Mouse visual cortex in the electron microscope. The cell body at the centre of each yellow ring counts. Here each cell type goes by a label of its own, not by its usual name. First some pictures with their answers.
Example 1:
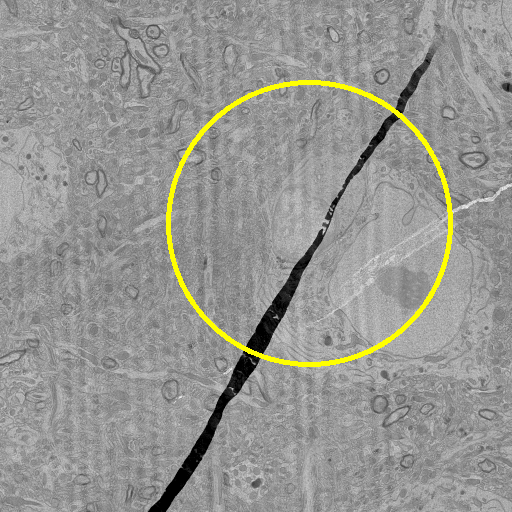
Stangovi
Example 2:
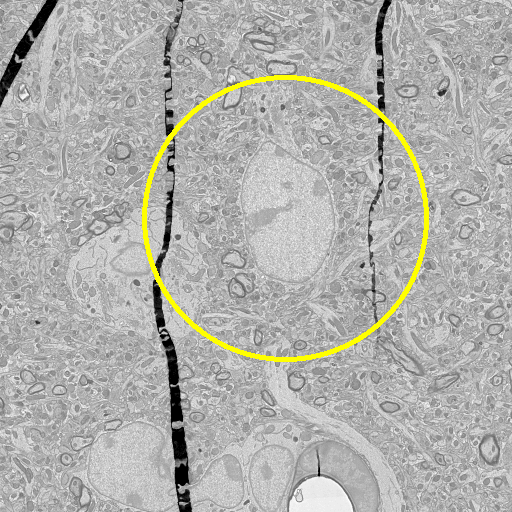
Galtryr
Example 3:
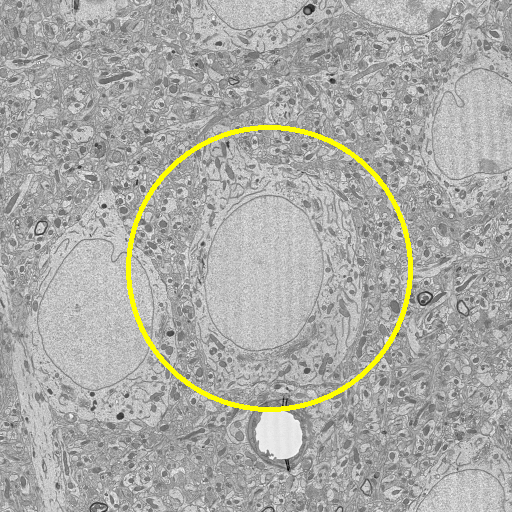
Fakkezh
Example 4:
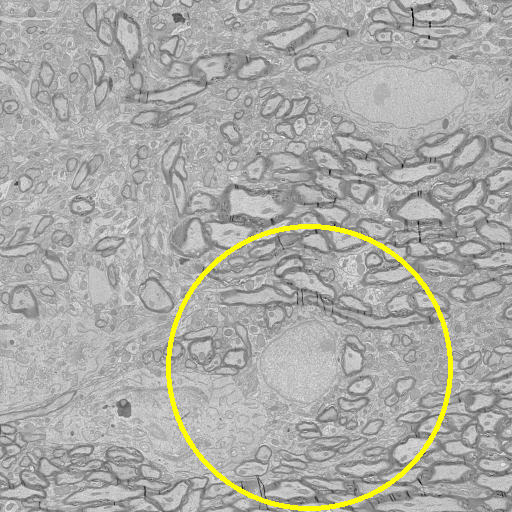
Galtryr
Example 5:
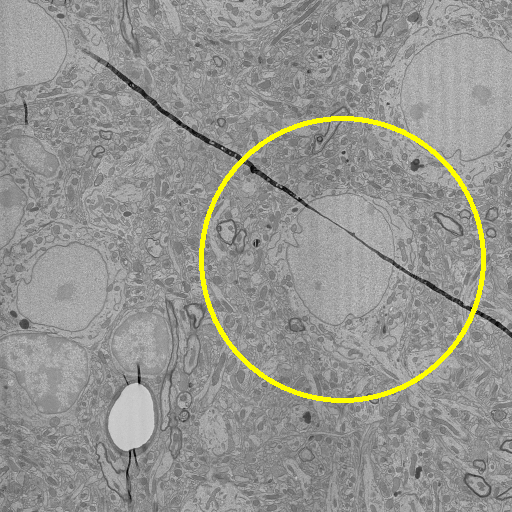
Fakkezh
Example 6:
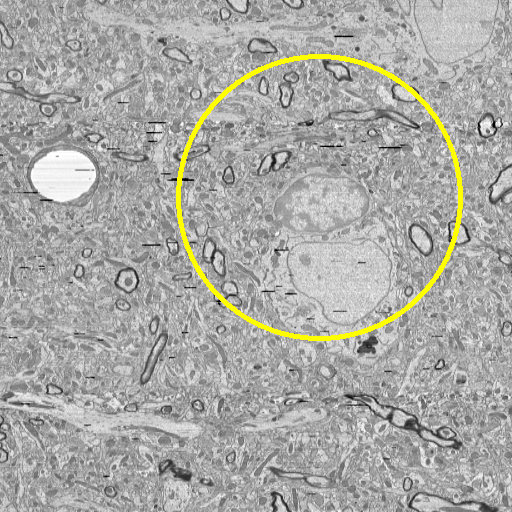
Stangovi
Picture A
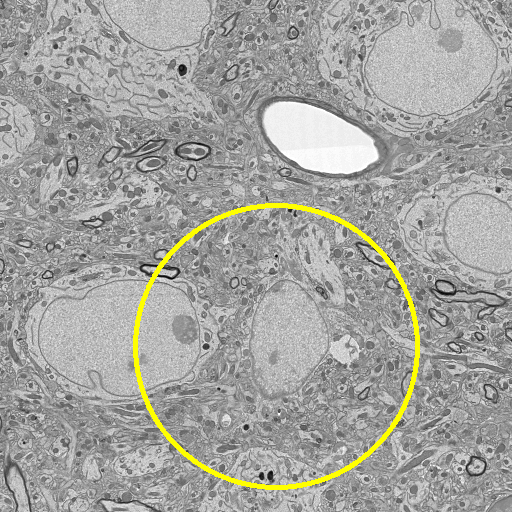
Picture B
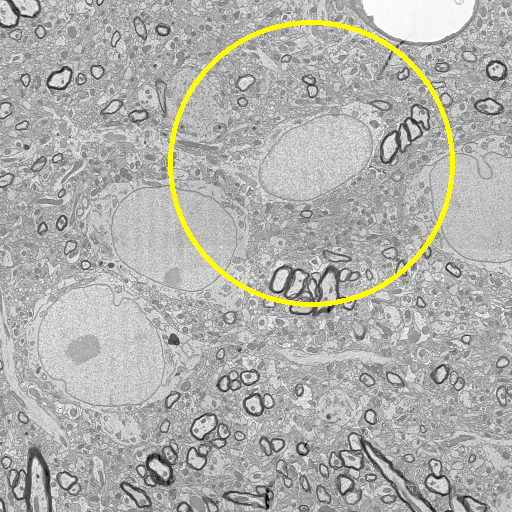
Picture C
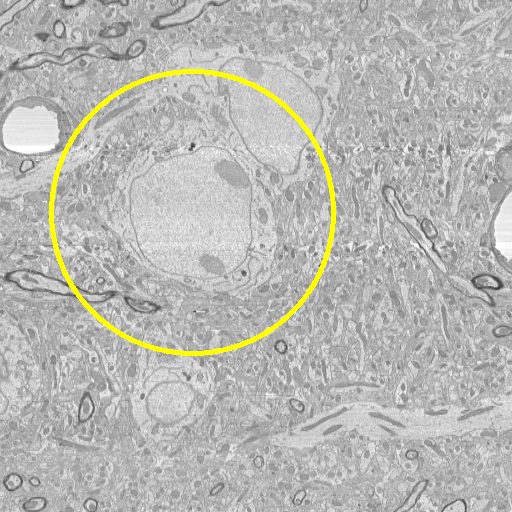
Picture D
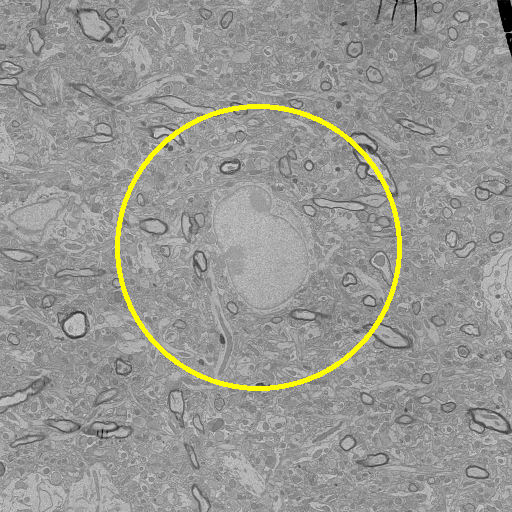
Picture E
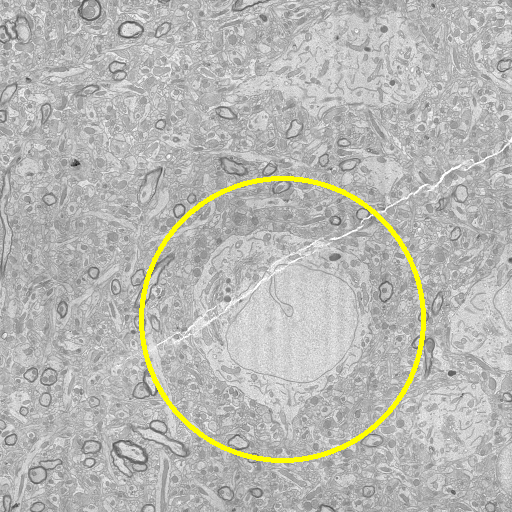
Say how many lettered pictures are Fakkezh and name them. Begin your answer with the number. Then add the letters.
2: C, E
